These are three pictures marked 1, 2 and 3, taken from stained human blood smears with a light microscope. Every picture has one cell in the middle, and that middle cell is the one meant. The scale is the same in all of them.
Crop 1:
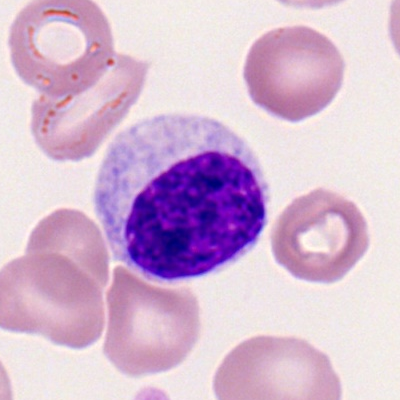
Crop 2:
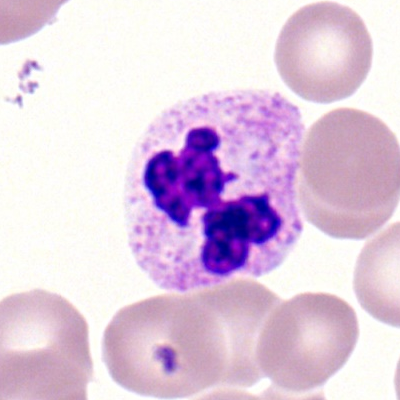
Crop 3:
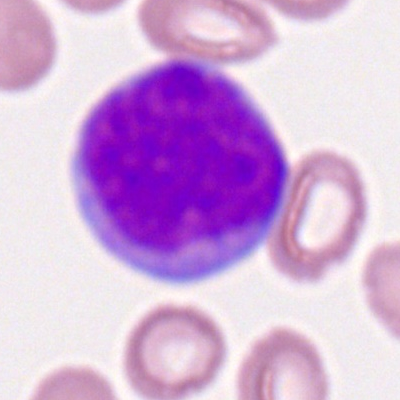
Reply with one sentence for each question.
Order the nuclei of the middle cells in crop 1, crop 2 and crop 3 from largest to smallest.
The order is 3, 1, 2, beginning with the largest.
